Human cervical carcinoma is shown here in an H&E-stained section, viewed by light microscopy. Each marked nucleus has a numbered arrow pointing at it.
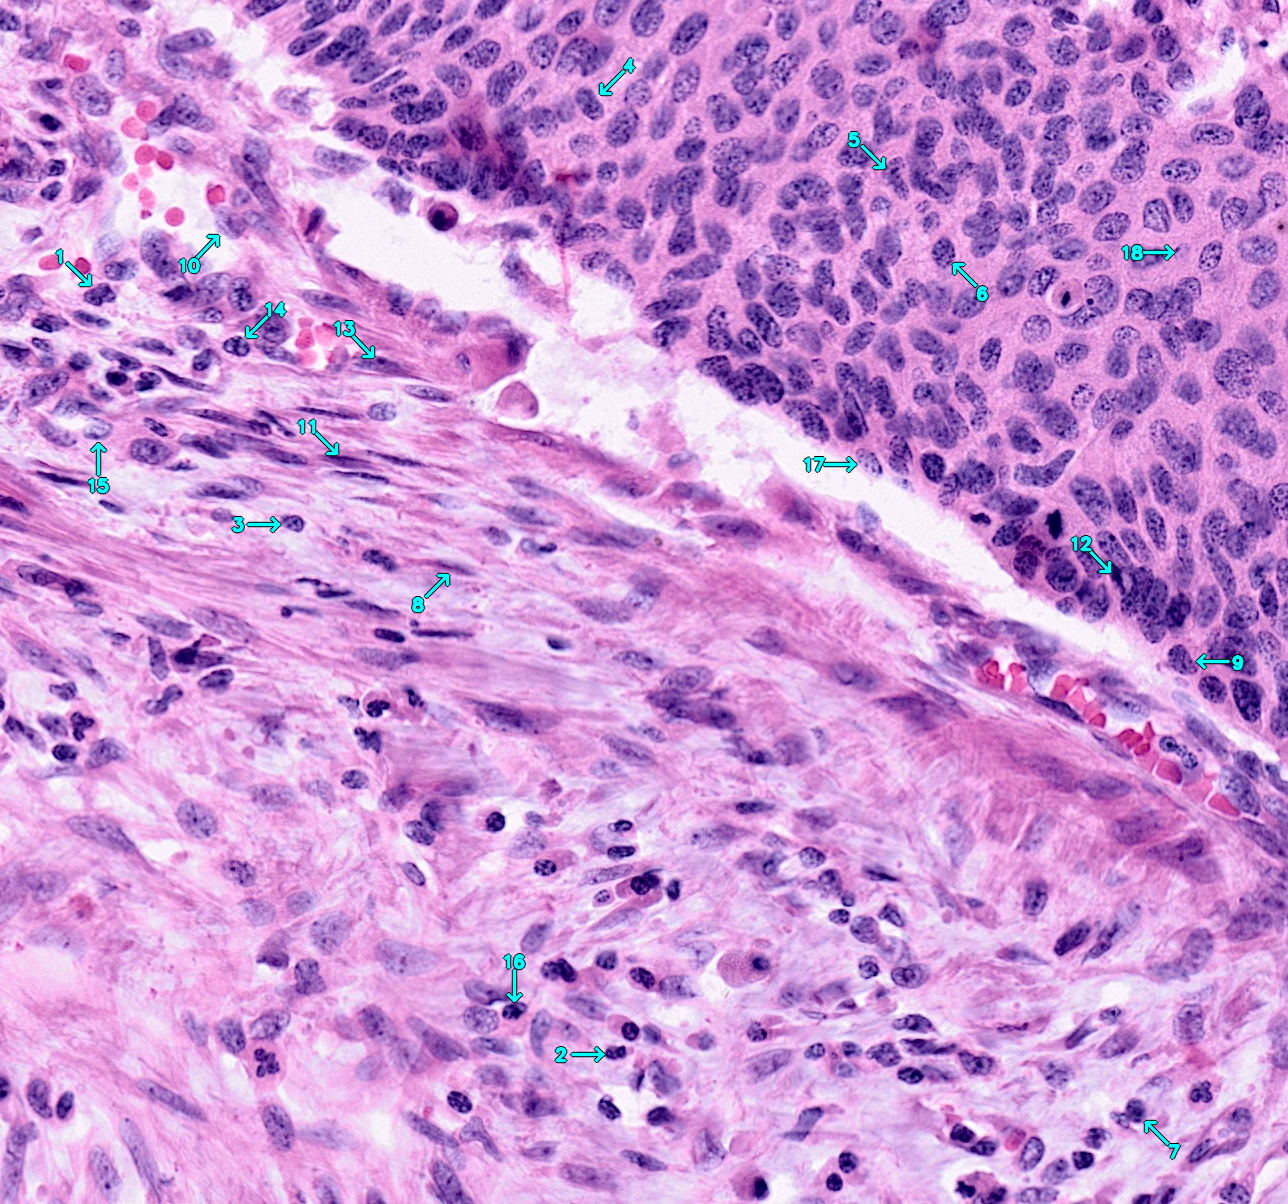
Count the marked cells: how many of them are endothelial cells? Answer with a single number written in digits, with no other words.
2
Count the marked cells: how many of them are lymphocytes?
6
